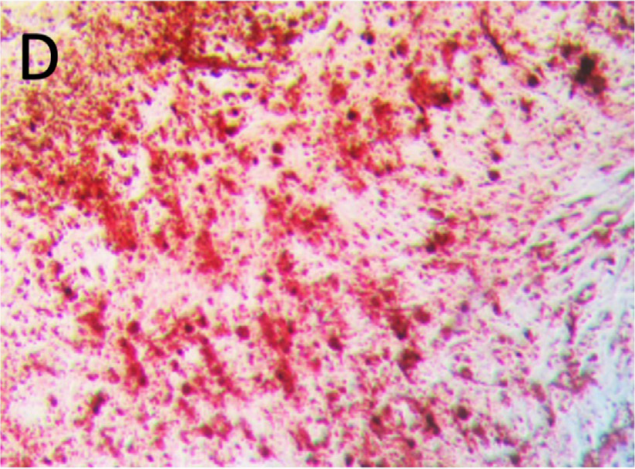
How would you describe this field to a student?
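Dense, dark red granular clumps of deposited material cover much of the field, heaviest toward the upper left and in streaks across the middle. Between the clumps the background is pale pink, and at the right edge faint outlines of elongated cells can be seen where little red material lies.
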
